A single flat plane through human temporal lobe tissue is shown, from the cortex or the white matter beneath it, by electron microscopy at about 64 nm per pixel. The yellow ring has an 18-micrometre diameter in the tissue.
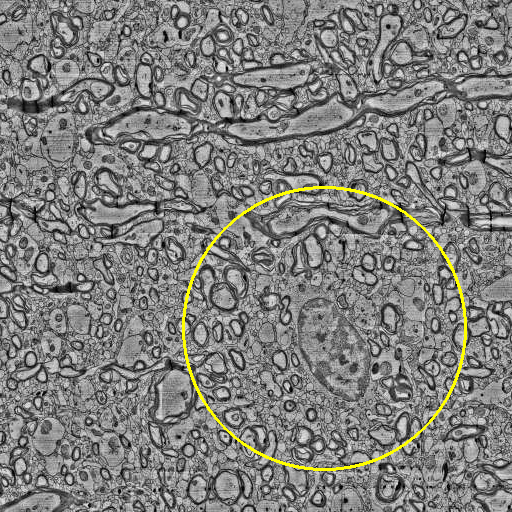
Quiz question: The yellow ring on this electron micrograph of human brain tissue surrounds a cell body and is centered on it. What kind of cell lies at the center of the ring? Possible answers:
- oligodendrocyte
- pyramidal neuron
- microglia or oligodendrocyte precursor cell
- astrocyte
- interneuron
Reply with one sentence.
The ring's center lies on an oligodendrocyte.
